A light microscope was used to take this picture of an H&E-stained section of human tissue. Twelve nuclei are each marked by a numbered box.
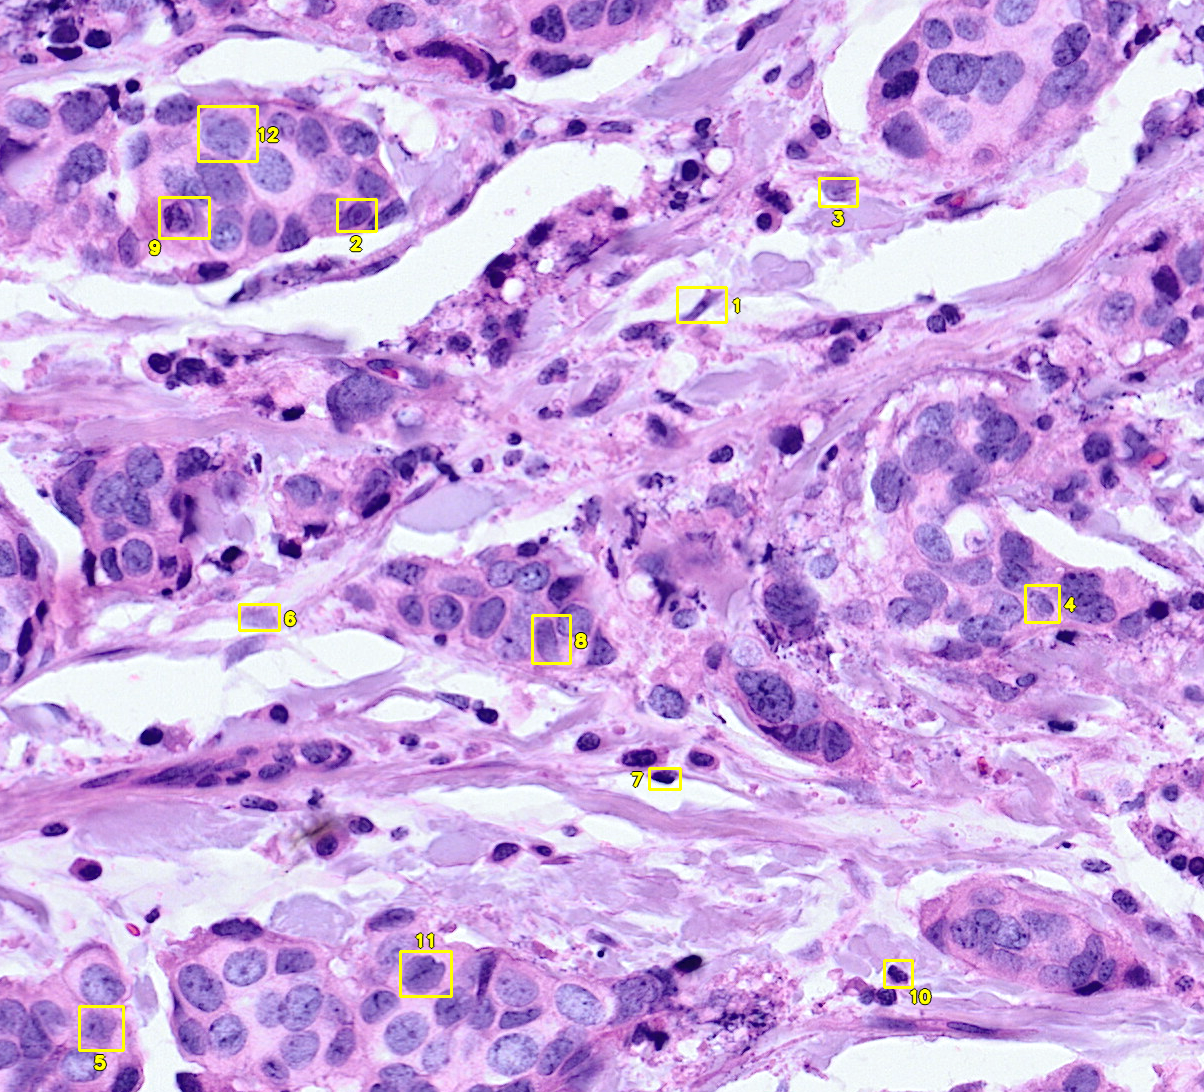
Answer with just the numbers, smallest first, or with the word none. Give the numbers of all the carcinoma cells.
2, 4, 5, 8, 9, 11, 12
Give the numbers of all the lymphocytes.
7, 10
